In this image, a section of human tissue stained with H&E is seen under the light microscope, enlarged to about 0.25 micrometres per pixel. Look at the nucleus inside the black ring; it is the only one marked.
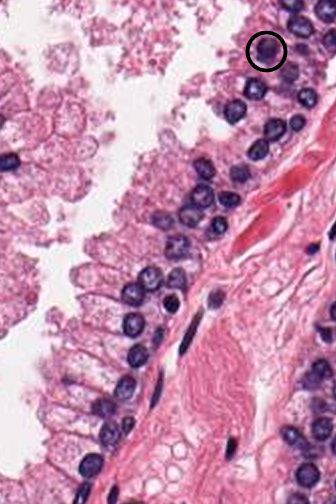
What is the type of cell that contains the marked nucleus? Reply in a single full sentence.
In this picture, the marked nucleus belongs to a prostate gland luminal cell.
